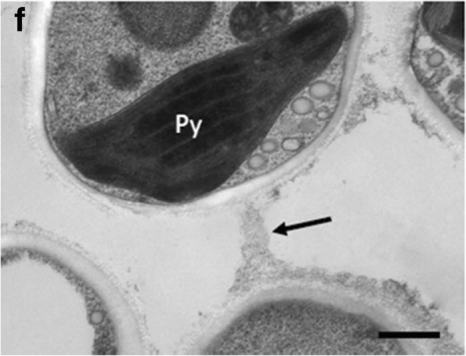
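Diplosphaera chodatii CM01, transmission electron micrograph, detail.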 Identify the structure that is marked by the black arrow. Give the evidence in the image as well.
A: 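The arrow points to loose fibrillar material in the space between cells. The fibrillar material bridges from the upper cell's wall toward a lower cell. So: mucilage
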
